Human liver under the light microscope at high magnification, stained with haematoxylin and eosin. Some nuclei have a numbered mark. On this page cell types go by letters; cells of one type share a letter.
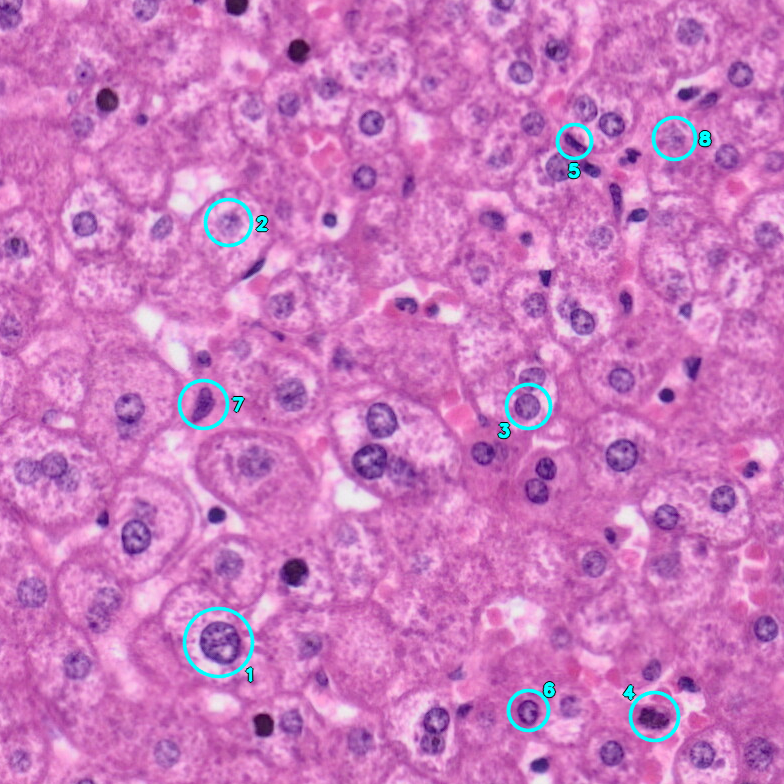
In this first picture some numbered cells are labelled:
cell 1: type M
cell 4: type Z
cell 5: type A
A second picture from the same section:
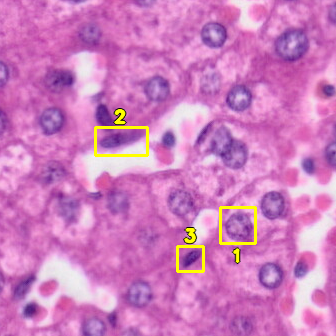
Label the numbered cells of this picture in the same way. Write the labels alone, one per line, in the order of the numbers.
type M
type Z
type A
